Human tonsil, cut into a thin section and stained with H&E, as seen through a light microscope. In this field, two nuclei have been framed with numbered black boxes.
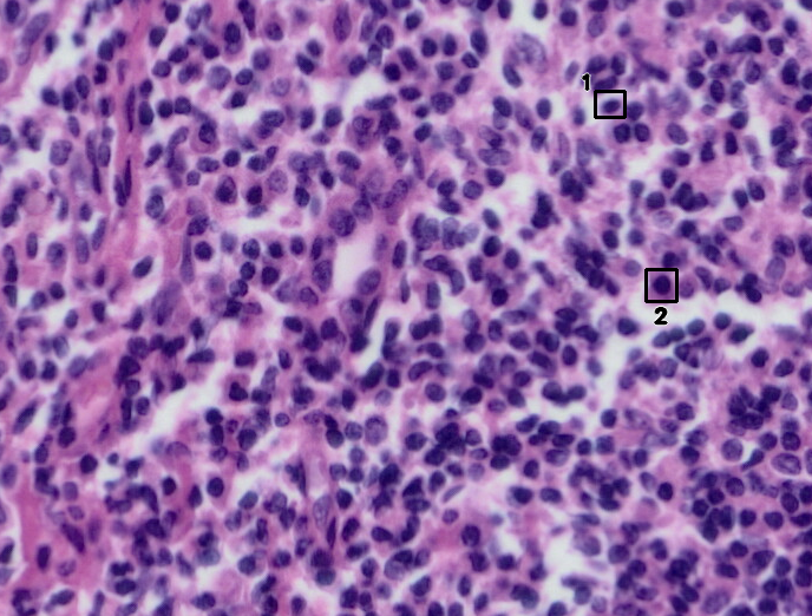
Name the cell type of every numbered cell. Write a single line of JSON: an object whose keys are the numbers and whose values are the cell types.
{"1": "small lymphocyte", "2": "plasma cell"}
